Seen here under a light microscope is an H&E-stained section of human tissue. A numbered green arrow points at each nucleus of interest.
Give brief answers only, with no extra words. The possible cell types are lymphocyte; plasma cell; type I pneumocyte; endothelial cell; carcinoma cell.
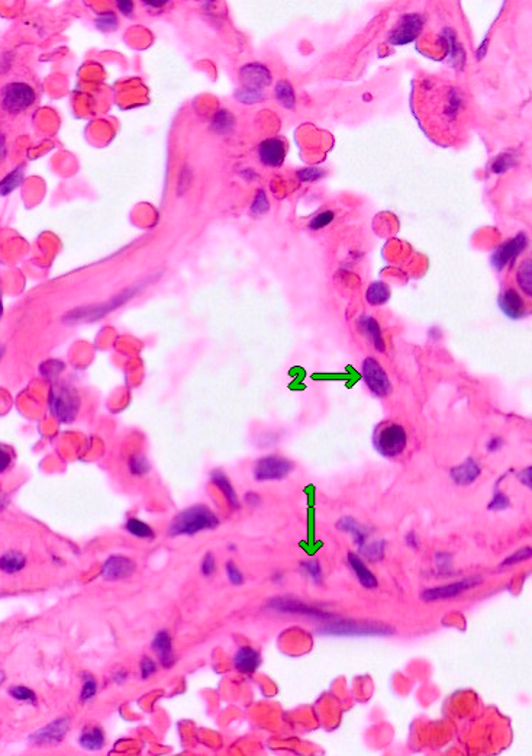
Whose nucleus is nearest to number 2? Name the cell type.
endothelial cell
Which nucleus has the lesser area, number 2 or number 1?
1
